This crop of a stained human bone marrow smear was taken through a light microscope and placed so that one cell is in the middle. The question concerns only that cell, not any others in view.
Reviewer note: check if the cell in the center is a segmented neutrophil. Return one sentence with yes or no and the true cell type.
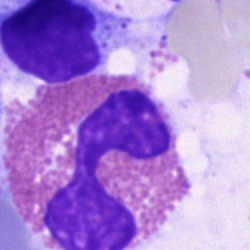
No, the central cell is not to be called a segmented neutrophil, being an eosinophil.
